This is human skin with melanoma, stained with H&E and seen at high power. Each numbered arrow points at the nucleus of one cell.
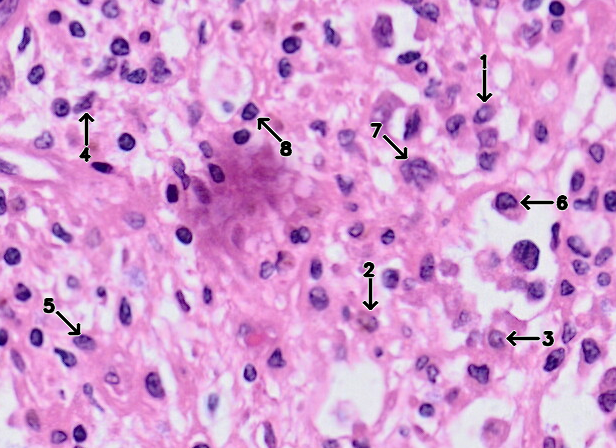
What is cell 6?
macrophage or monocyte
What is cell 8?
lymphocyte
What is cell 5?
macrophage or monocyte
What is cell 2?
macrophage or monocyte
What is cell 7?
melanoma cell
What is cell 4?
fibroblast or myofibroblast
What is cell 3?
macrophage or monocyte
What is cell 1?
macrophage or monocyte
